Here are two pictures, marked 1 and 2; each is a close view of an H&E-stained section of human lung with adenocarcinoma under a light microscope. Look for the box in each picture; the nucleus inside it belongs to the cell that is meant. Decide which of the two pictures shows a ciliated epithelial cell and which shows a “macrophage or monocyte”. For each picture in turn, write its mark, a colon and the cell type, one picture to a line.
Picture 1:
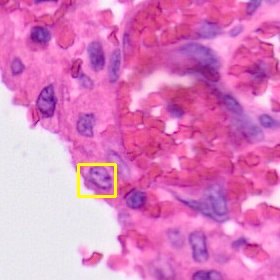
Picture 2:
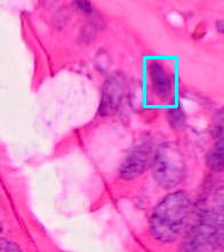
1: macrophage or monocyte
2: ciliated epithelial cell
